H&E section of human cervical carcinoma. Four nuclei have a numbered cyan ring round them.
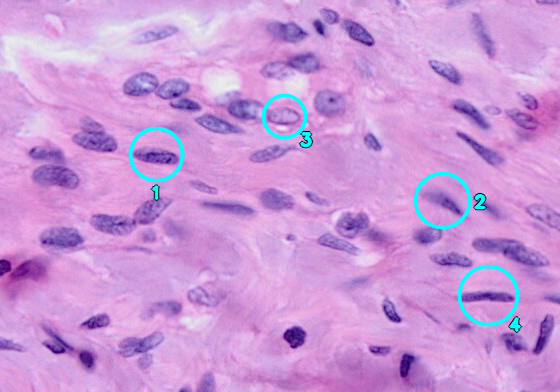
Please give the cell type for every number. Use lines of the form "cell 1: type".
cell 1: fibroblast
cell 2: fibroblast
cell 3: endothelial cell
cell 4: fibroblast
